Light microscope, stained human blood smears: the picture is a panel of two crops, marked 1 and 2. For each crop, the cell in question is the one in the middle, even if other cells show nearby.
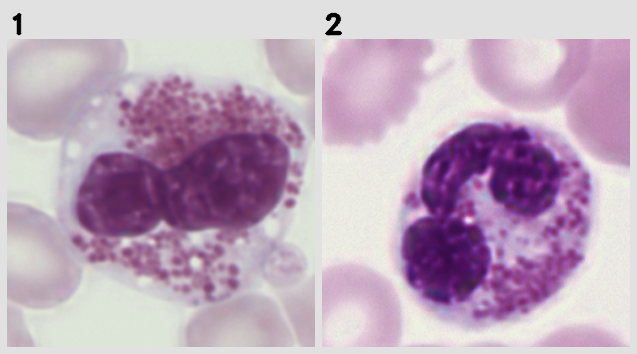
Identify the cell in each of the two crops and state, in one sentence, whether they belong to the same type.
Yes, both crops are centred on cells that are eosinophils.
